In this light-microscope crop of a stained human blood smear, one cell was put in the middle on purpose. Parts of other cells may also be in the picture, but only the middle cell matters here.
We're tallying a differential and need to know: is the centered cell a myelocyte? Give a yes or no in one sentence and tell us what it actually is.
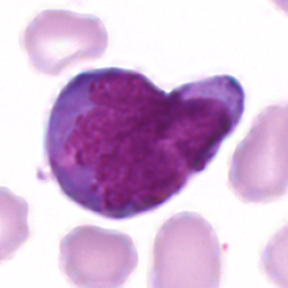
No, mark the middle cell as an atypical promyelocyte, not a myelocyte.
